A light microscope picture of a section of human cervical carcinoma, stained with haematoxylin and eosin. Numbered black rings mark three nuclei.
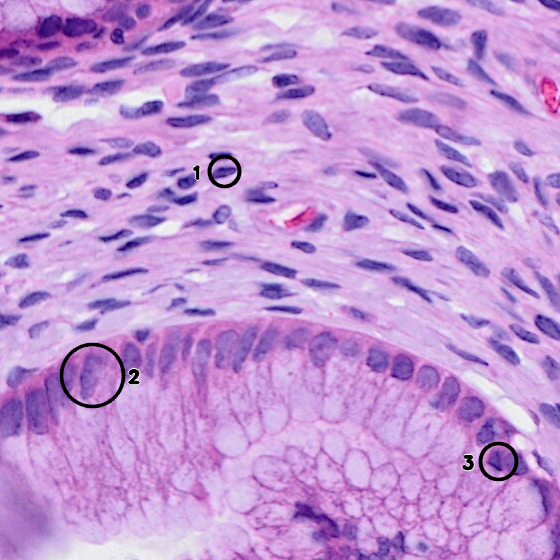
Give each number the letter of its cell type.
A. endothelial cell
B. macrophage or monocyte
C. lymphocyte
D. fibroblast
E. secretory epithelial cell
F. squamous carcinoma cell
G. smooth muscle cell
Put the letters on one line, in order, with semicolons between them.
D; E; E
